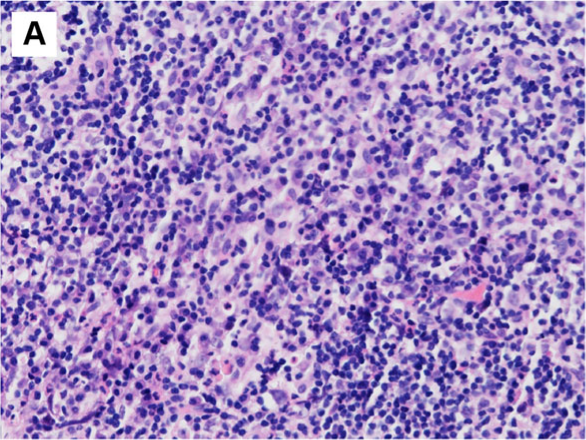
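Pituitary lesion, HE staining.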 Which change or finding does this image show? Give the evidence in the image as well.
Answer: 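Many small cells with dark round nuclei are packed closely throughout the field. Larger pale cells with vesicular nuclei lie scattered among the small dark cells.
Dense lymphoplasmacytic infiltration.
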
